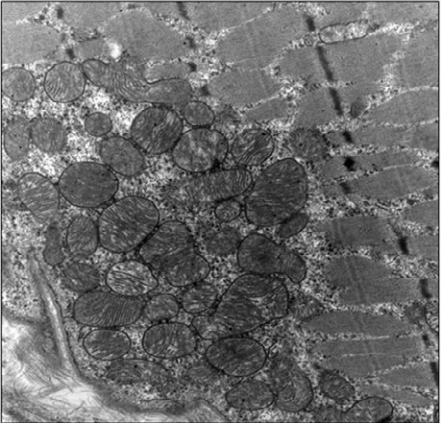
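Skeletal muscle fibre seen by transmission electron microscopy, with a large cluster of mitochondria lying beneath the cell surface next to striated myofibrils. The mitochondria are round to oval, each bounded by a smooth outer membrane and filled with closely packed, parallel cristae that give them a finely striped, grey interior. Between them lies lighter, granular cytoplasm. To one side the myofibrils run in orderly bundles, crossed at regular intervals by dark, narrow Z-lines that mark the sarcomeres. The mitochondrial profiles are crowded but intact, with no clear pale vacuoles inside them.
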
